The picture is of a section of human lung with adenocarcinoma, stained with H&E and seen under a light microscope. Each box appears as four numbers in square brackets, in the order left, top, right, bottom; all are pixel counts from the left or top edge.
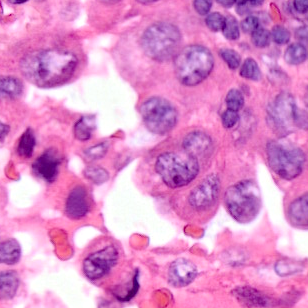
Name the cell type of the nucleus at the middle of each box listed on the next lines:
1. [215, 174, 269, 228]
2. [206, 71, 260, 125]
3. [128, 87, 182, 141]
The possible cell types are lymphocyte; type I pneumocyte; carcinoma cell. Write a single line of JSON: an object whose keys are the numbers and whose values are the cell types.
{"1": "carcinoma cell", "2": "lymphocyte", "3": "carcinoma cell"}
